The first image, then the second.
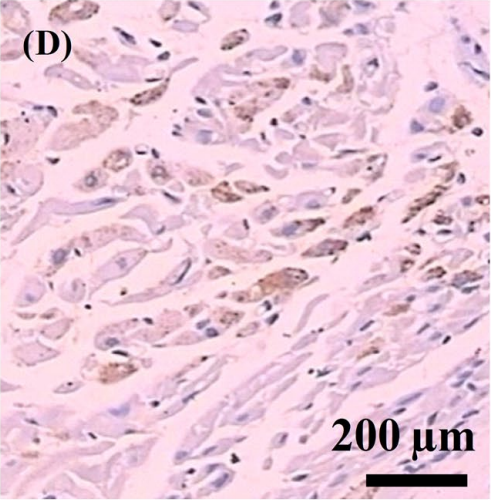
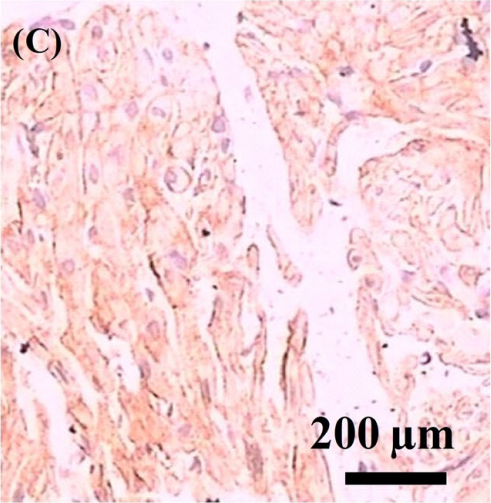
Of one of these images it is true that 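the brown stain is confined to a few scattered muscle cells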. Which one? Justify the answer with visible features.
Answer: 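First image: only some fibres are brown, most are pale pink-grey. Second image: nearly all muscle fibres show an orange-brown tint.
Conclusion: the first image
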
